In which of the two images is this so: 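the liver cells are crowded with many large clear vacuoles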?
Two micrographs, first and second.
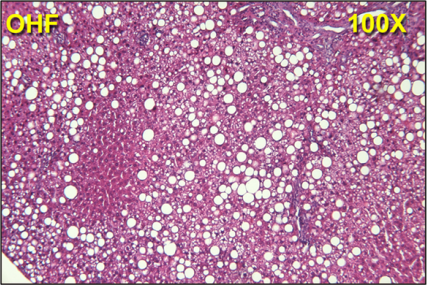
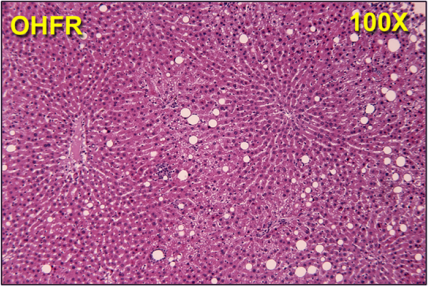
the first image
